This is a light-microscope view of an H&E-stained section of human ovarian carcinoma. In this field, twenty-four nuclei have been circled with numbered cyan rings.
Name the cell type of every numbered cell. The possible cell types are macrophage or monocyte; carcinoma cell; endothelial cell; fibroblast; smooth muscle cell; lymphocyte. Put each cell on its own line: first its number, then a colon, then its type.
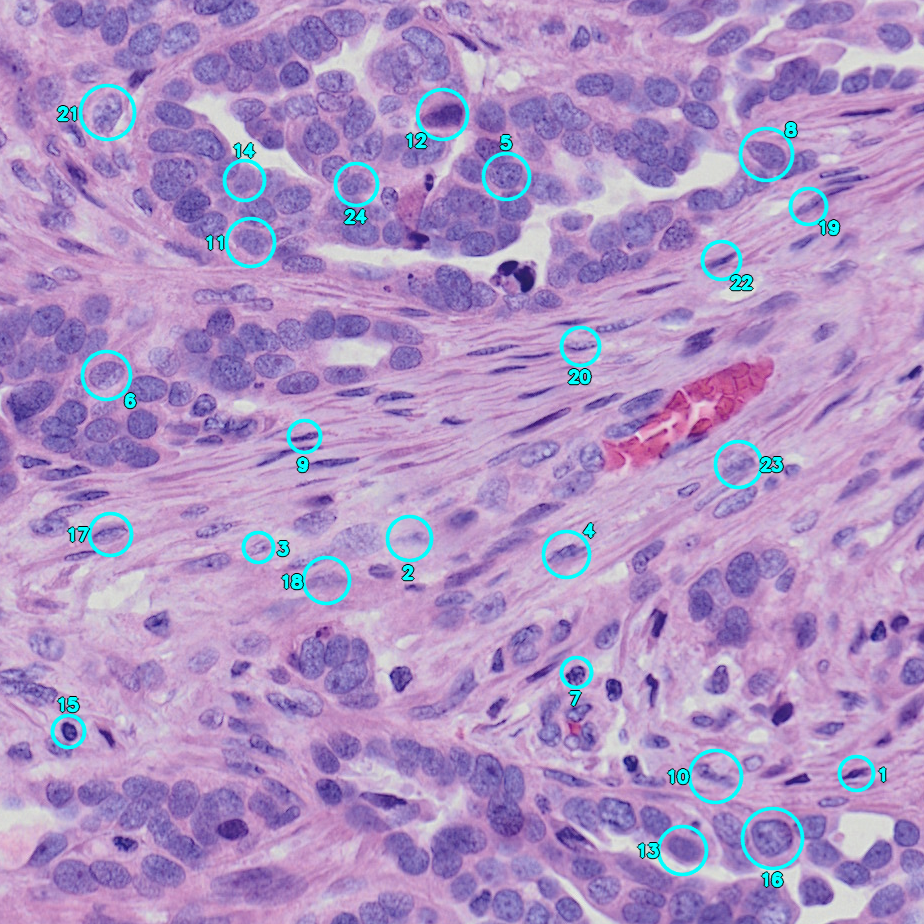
1: fibroblast
2: fibroblast
3: fibroblast
4: fibroblast
5: carcinoma cell
6: carcinoma cell
7: lymphocyte
8: carcinoma cell
9: fibroblast
10: fibroblast
11: carcinoma cell
12: carcinoma cell
13: carcinoma cell
14: carcinoma cell
15: lymphocyte
16: carcinoma cell
17: fibroblast
18: fibroblast
19: fibroblast
20: fibroblast
21: fibroblast
22: fibroblast
23: fibroblast
24: carcinoma cell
